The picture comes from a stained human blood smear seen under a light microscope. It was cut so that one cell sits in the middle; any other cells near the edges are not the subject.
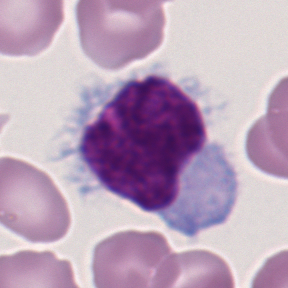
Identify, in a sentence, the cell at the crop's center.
What sits at the centre of this crop is a hairy cell.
